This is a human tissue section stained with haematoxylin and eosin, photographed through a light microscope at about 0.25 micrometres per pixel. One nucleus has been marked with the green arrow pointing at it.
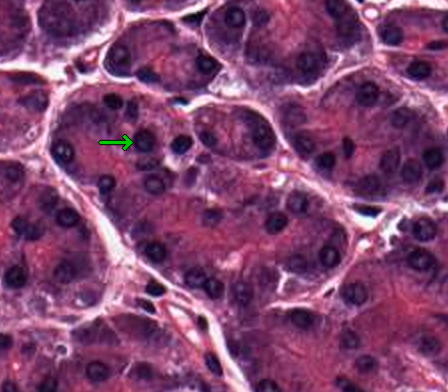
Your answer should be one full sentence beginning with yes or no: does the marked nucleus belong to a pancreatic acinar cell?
Yes, in this section the marked nucleus belongs to a pancreatic acinar cell.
